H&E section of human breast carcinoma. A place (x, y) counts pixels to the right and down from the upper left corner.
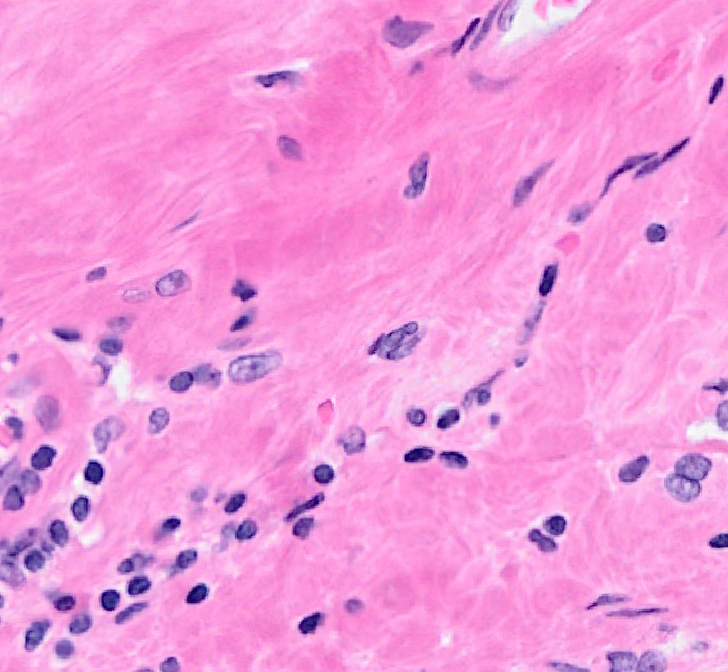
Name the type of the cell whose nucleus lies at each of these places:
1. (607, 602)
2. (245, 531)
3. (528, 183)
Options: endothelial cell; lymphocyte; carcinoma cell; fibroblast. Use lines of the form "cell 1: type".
cell 1: fibroblast
cell 2: lymphocyte
cell 3: fibroblast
